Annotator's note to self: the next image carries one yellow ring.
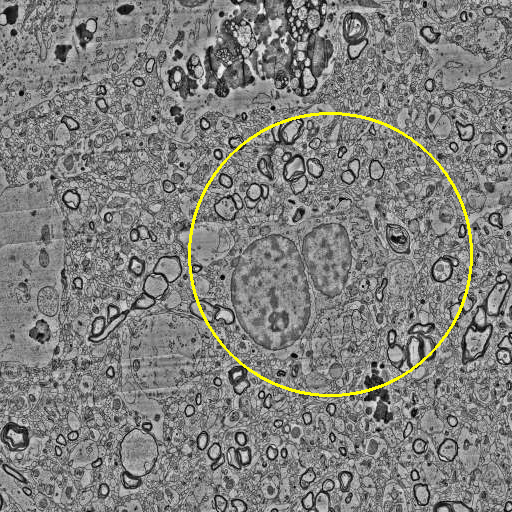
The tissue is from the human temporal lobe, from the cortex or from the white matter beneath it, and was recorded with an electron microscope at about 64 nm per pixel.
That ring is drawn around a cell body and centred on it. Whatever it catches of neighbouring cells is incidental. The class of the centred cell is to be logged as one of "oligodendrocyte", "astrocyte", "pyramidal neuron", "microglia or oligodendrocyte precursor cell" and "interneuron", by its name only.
oligodendrocyte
